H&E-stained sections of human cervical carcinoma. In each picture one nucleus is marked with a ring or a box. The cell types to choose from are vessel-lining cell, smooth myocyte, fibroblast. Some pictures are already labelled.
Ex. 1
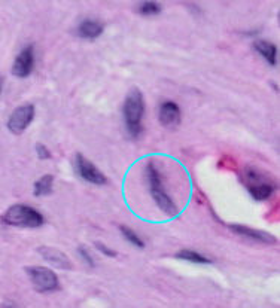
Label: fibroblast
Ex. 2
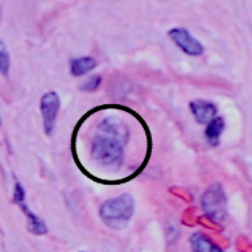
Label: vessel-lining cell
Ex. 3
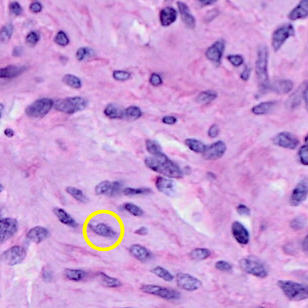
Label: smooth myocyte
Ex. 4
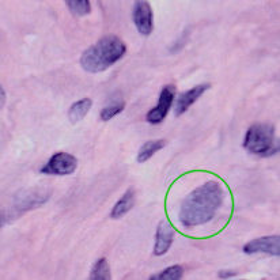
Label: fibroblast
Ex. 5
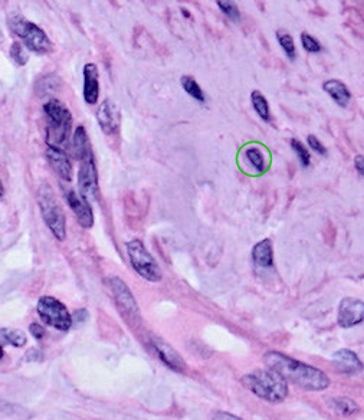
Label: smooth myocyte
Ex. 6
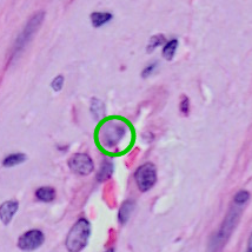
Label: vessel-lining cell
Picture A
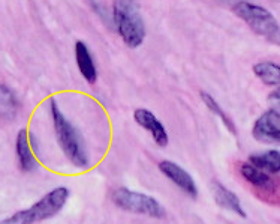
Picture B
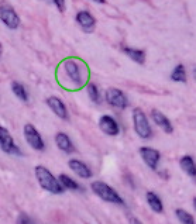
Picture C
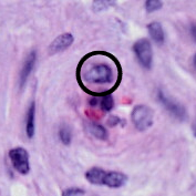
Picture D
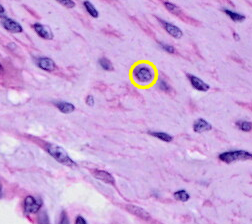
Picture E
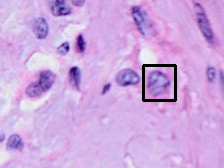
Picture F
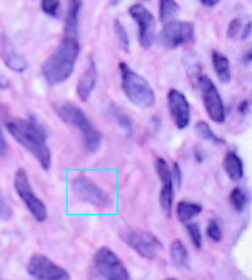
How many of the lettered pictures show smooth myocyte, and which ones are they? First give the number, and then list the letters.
Count: 2 (B, D)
